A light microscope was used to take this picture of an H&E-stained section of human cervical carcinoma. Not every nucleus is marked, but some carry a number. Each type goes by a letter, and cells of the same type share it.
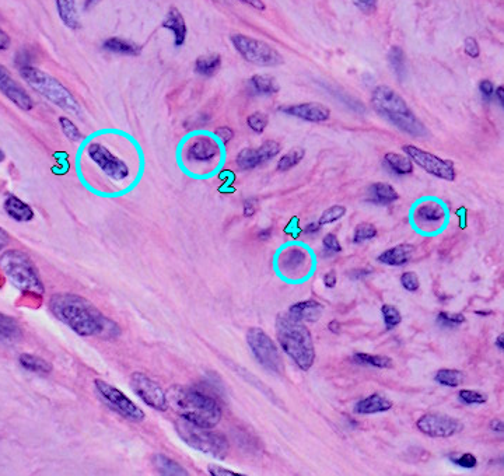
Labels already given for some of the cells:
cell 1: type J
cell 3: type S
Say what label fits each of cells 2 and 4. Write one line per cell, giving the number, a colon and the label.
2: type J
4: type J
